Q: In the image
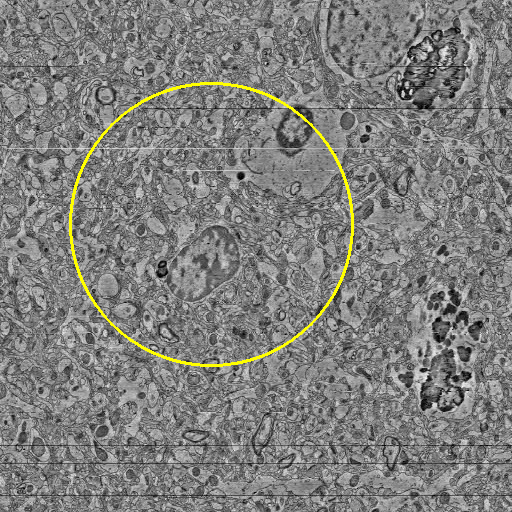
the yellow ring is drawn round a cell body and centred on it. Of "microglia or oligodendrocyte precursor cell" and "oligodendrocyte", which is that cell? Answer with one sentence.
The cell centred in the ring is a microglial cell or oligodendrocyte precursor cell.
